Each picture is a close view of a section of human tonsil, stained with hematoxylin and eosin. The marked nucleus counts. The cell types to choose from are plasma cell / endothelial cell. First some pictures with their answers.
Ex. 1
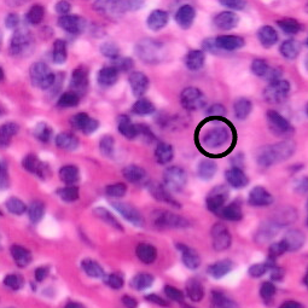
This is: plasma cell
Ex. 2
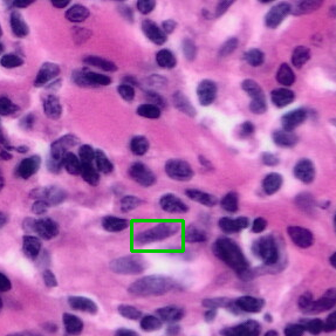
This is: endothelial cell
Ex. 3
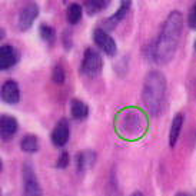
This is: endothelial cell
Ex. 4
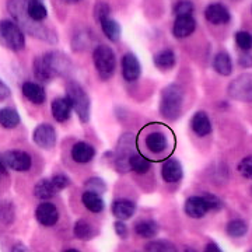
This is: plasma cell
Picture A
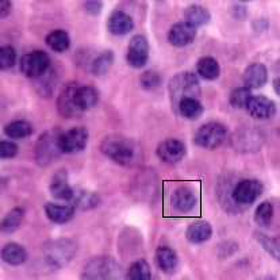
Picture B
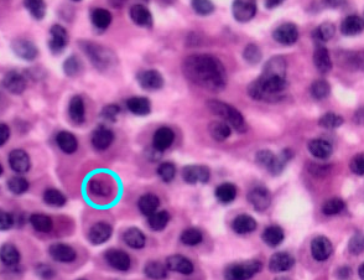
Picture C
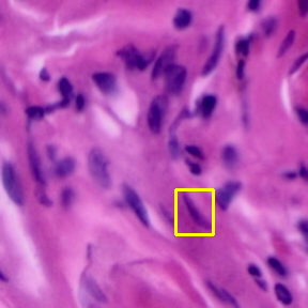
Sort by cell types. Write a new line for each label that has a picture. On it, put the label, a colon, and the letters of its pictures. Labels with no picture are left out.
plasma cell: A, B
endothelial cell: C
